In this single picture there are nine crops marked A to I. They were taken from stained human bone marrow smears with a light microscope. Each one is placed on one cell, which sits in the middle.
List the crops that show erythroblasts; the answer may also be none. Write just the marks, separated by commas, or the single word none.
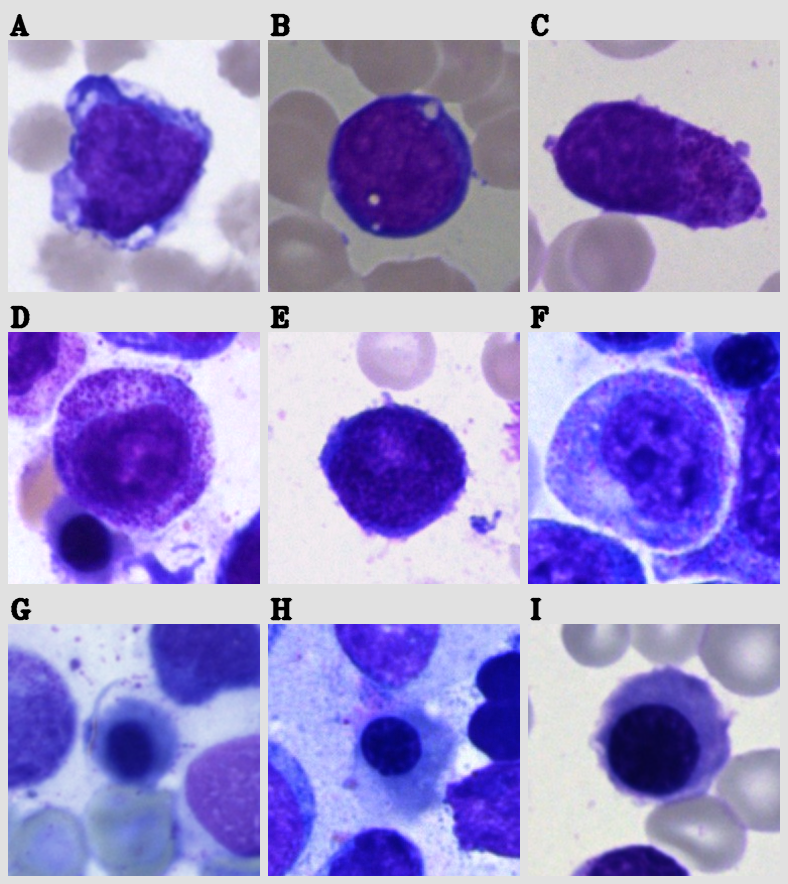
G, H, I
